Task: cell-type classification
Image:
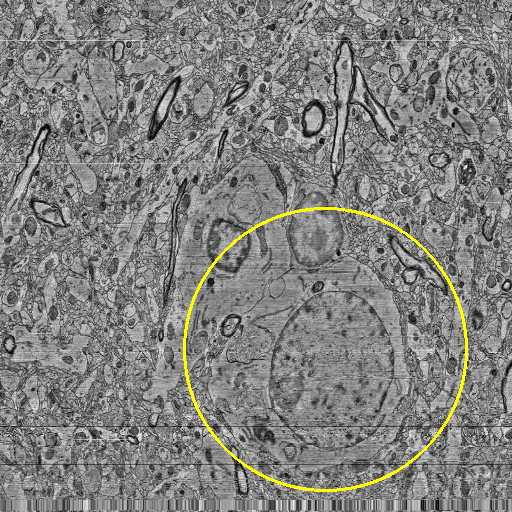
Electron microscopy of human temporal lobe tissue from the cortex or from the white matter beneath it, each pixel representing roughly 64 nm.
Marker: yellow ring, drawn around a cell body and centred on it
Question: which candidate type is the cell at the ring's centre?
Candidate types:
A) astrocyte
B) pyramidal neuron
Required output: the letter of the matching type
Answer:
A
